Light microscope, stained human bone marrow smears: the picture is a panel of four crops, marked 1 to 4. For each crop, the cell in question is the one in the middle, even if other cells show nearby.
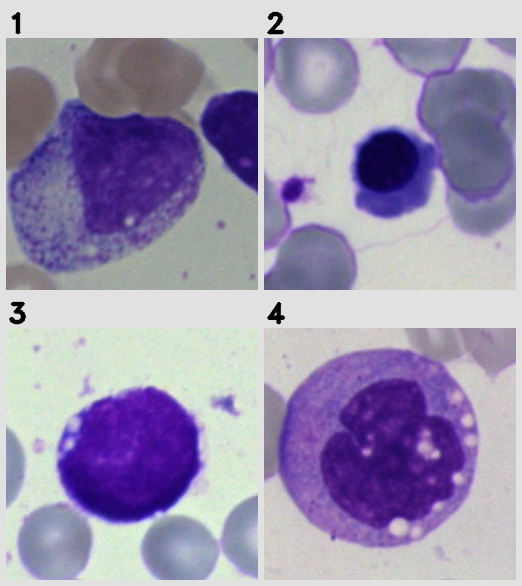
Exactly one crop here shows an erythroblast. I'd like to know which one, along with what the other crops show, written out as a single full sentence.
The labels are: crop 2 is an erythroblast, and crop 1 is a myelocyte, crop 3 is a blast and crop 4 is a monocyte.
